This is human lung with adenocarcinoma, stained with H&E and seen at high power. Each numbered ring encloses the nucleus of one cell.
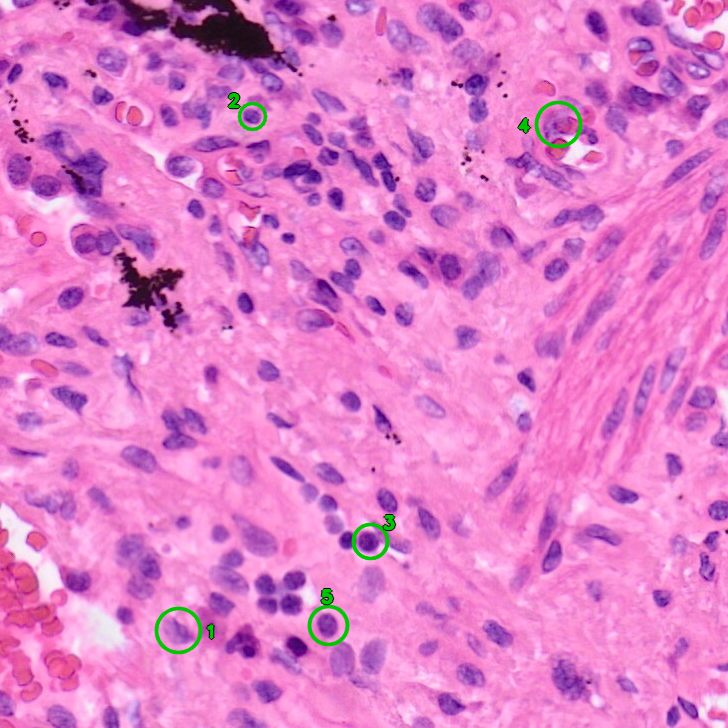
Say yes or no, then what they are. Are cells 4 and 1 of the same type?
No, cell 4 should be called an endothelial cell, and cell 1 should be called a fibroblast.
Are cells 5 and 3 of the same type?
Yes, just like cell 5, cell 3 is one of the lymphocytes.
